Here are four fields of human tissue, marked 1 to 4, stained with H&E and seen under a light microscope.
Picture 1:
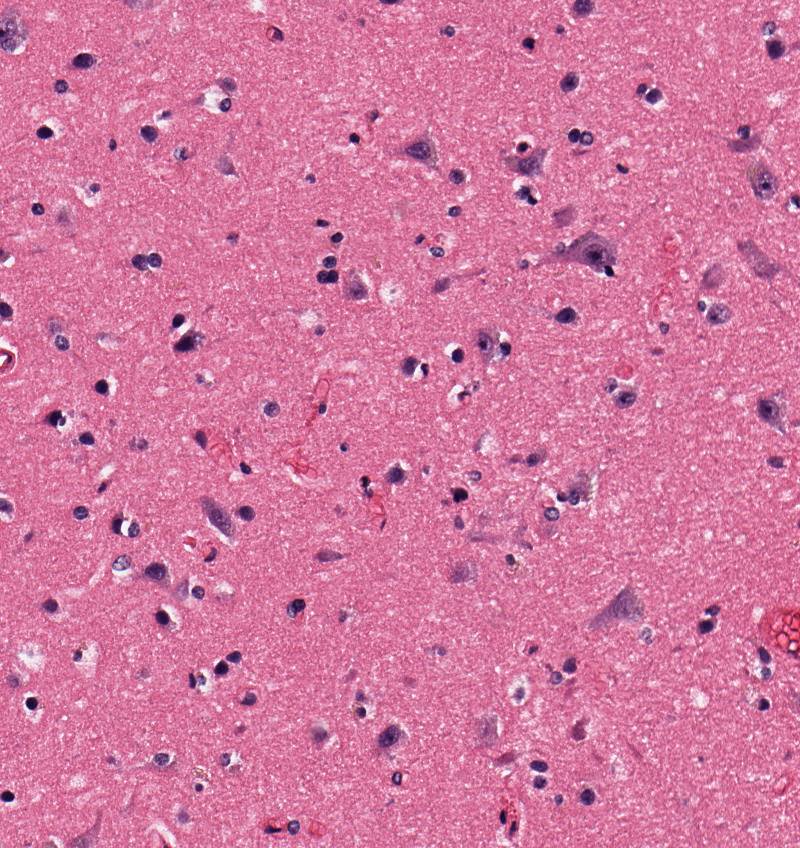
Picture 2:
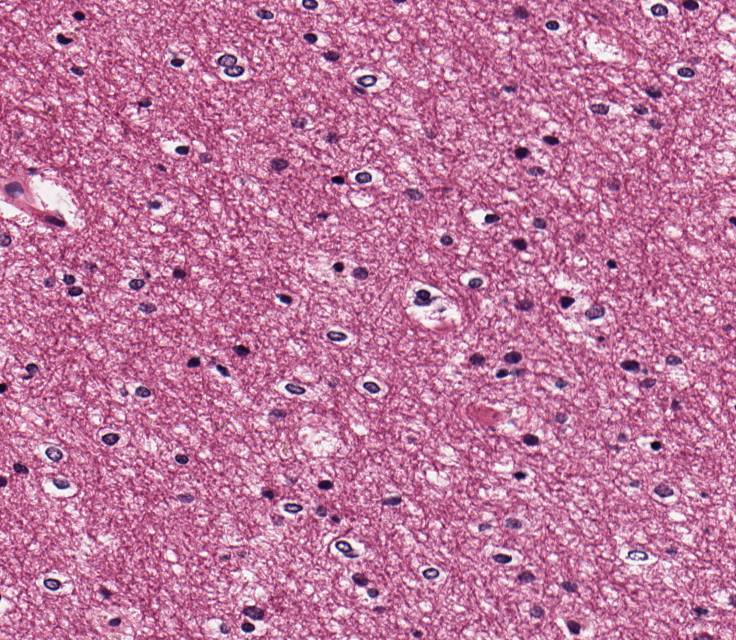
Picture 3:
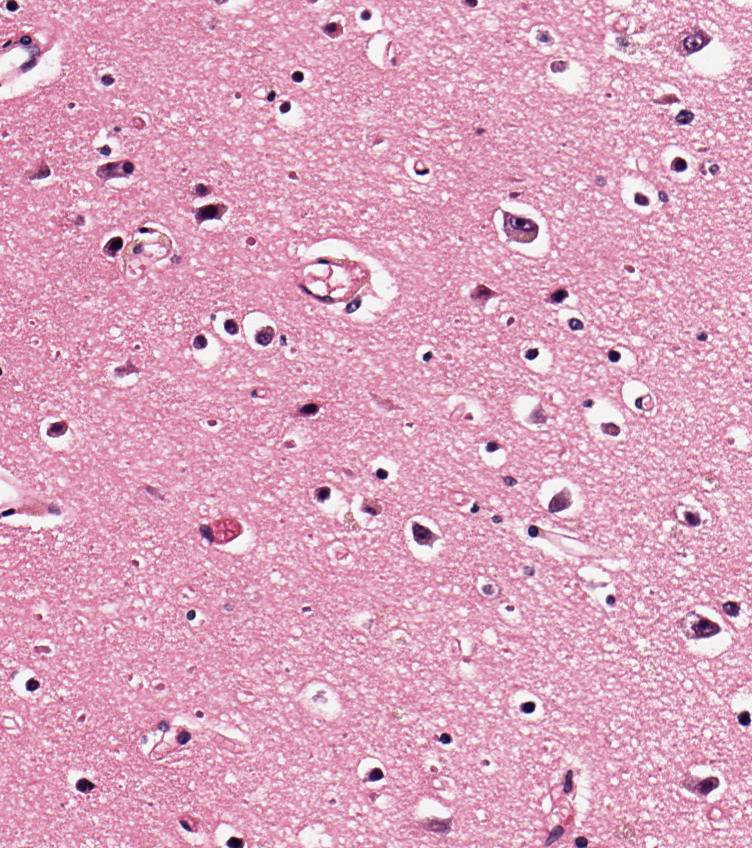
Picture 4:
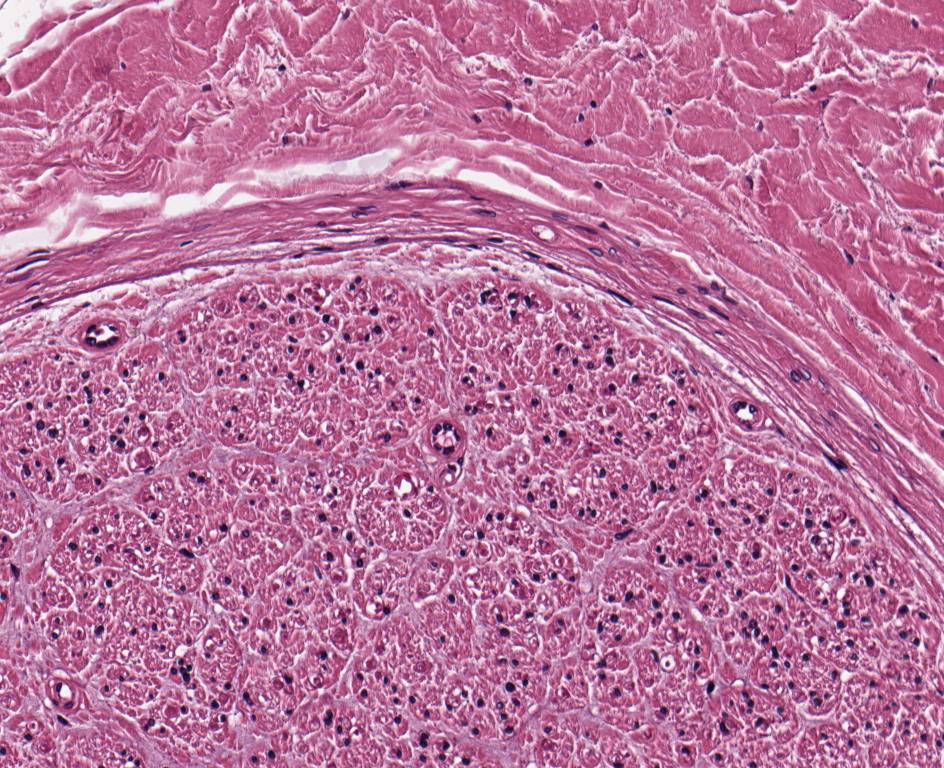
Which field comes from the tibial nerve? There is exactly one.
4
